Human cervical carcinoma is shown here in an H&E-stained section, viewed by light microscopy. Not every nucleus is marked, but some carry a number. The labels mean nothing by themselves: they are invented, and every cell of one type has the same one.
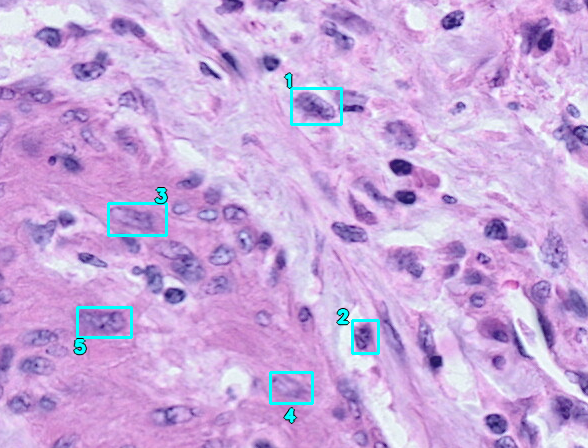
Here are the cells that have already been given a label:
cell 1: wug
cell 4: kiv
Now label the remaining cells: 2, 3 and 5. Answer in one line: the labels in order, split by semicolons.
wug; kiv; kiv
